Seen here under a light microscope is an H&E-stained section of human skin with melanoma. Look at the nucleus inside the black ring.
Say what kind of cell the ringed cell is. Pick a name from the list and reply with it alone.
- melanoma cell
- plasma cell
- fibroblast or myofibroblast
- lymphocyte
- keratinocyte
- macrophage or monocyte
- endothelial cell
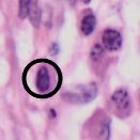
plasma cell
